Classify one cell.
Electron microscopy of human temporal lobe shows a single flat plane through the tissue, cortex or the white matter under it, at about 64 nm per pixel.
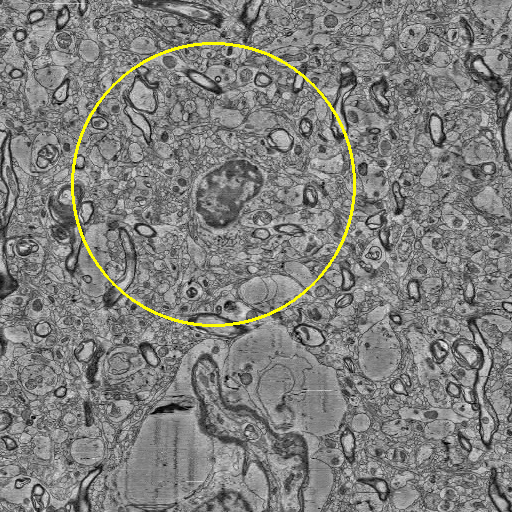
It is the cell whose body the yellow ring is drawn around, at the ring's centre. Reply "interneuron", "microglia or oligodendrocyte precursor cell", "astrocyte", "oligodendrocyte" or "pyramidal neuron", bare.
microglia or oligodendrocyte precursor cell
